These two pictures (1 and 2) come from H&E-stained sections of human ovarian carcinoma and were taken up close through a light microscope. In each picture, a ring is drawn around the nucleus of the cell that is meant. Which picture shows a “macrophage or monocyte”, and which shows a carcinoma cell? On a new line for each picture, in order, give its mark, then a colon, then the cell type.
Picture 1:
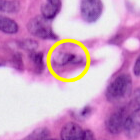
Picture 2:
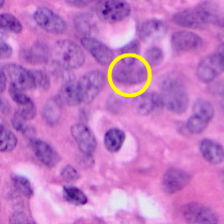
1: macrophage or monocyte
2: carcinoma cell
